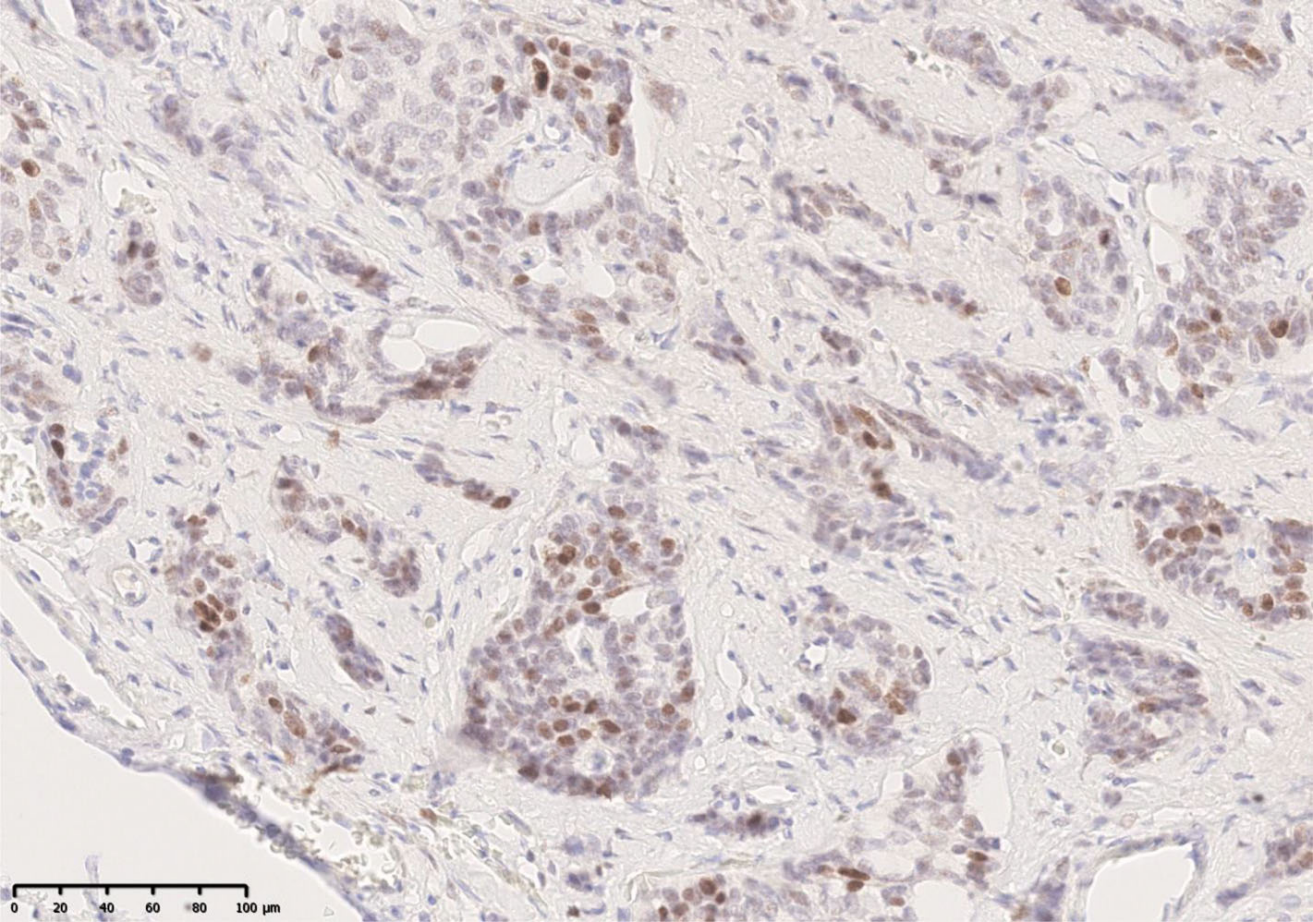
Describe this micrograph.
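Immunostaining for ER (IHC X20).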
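Carcinoma made of neoplastic epithelial cells arranged in irregular nests, cords, trabeculae and small gland-like structures with small lumina, set within an abundant pale fibrous stroma containing scattered elongated spindle-shaped cells with blue nuclei. The tumour cells have round to oval nuclei that are crowded together and somewhat variable in size, with scant cytoplasm. Many tumour nuclei show brown staining of varying intensity, from faint tan to darker brown, while others are blue only; stromal spindle nuclei remain blue. A few small vessels and clear spaces lie between the nests.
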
